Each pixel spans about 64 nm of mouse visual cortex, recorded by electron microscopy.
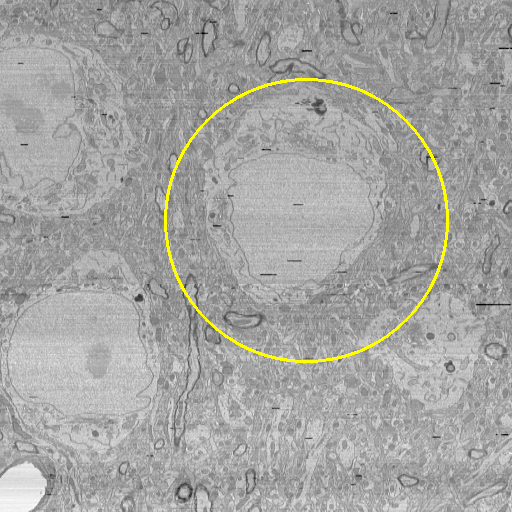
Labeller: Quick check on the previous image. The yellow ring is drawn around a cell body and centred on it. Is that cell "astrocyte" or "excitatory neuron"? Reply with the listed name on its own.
excitatory neuron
